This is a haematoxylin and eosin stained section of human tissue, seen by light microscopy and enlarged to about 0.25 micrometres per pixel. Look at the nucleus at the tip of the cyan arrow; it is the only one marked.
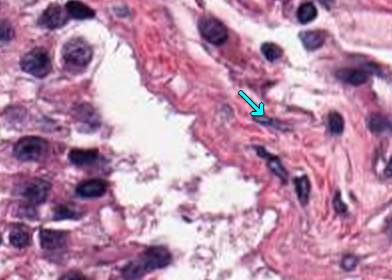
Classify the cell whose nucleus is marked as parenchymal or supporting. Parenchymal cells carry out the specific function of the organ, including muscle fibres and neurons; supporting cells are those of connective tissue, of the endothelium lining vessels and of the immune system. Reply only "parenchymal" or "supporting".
supporting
